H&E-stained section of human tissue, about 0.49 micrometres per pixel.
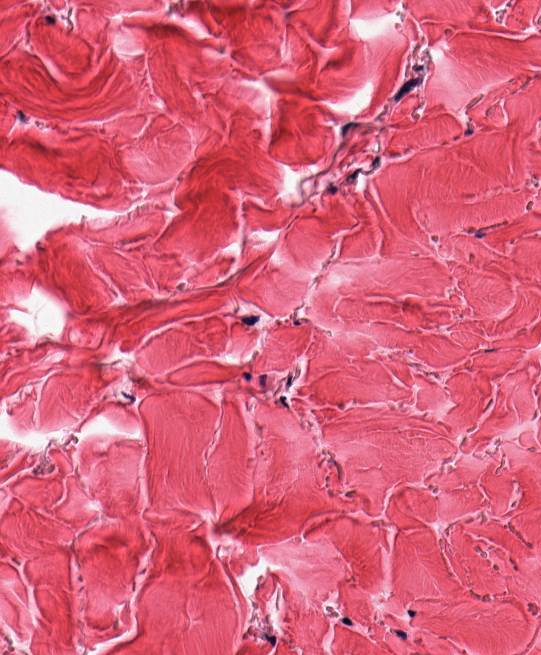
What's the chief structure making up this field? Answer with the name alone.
dermis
